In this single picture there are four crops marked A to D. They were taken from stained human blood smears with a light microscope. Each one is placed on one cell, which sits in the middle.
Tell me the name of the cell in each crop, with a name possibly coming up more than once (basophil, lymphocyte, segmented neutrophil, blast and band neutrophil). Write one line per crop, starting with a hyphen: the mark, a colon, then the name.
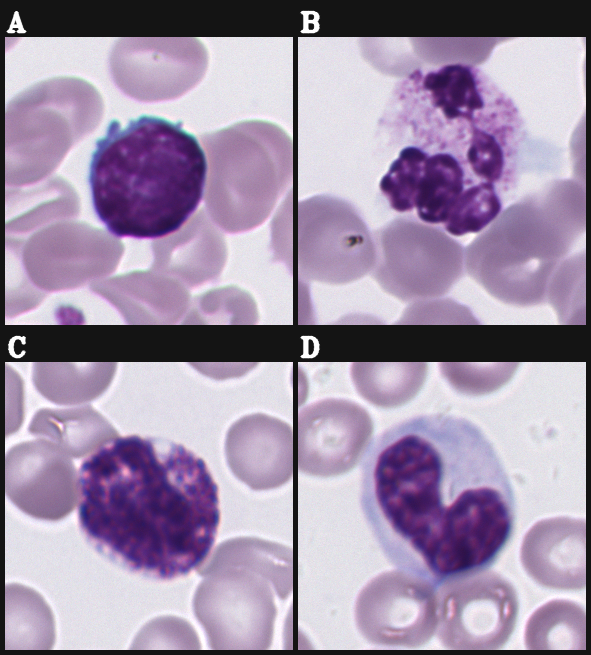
- A: lymphocyte
- B: segmented neutrophil
- C: basophil
- D: band neutrophil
